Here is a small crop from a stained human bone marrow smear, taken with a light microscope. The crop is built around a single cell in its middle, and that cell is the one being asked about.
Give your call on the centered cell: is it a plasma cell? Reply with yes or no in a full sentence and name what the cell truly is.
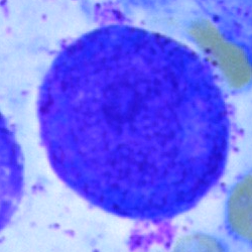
No, the middle cell is classified as a promyelocyte instead of a plasma cell.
